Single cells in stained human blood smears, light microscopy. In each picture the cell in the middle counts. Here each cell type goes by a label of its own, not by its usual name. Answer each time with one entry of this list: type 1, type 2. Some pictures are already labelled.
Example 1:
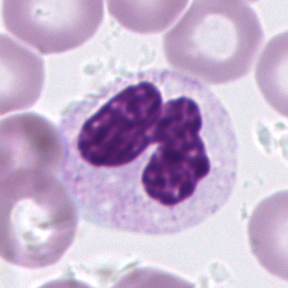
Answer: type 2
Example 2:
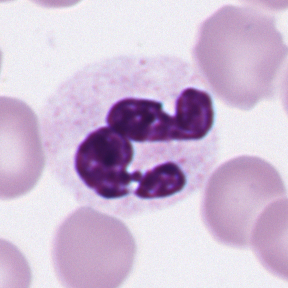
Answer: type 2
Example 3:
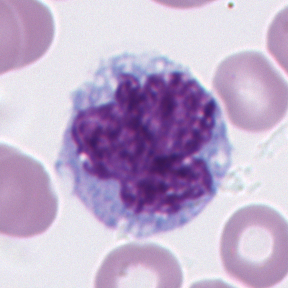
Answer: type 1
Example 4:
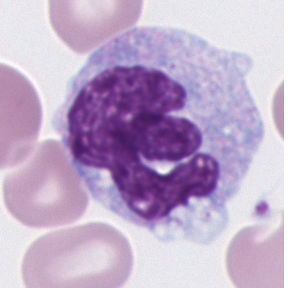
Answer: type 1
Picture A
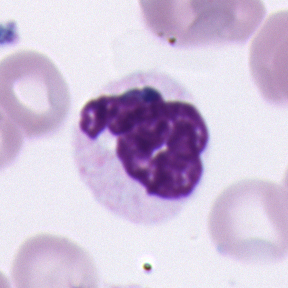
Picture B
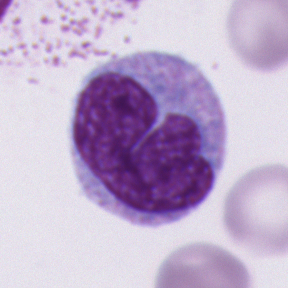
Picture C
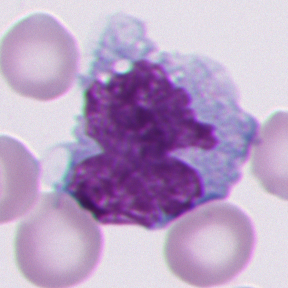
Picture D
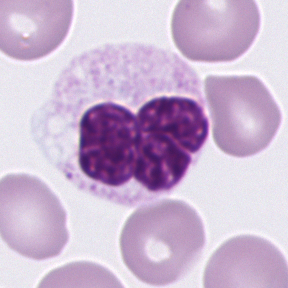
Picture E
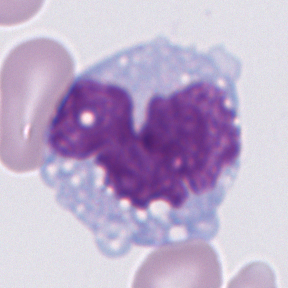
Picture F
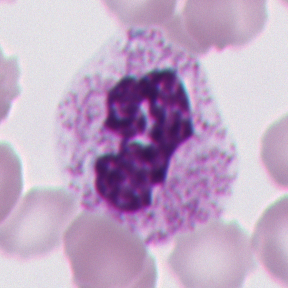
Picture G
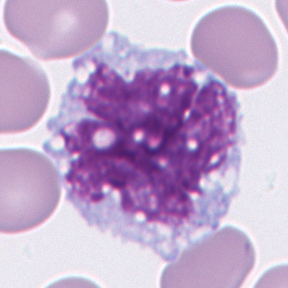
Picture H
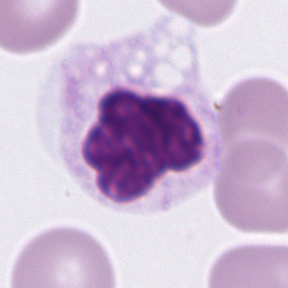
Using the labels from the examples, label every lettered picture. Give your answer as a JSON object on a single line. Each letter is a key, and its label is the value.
{"A": "type 2", "B": "type 1", "C": "type 1", "D": "type 2", "E": "type 1", "F": "type 2", "G": "type 1", "H": "type 2"}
